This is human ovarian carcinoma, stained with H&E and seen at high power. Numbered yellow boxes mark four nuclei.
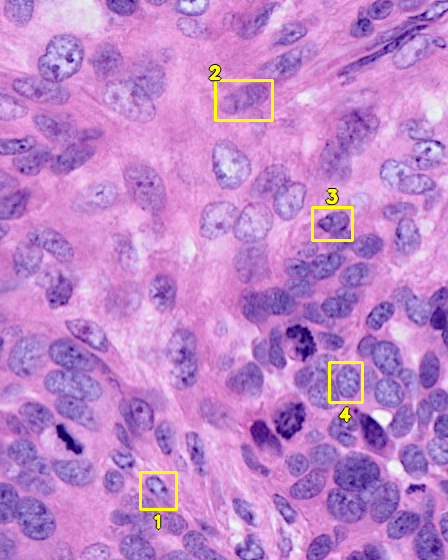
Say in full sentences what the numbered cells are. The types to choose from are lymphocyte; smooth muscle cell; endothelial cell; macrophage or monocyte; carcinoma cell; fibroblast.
Cell 1 is a fibroblast, cell 2 is a fibroblast, cell 3 is a macrophage or monocyte and cell 4 is a carcinoma cell.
